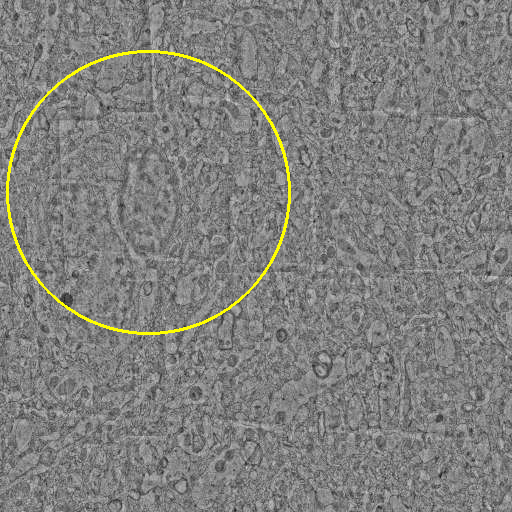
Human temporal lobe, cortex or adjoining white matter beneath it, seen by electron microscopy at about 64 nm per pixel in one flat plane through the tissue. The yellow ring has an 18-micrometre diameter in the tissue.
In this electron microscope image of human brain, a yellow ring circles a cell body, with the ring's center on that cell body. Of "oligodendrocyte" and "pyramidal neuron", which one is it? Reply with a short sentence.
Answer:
It is an oligodendrocyte at the center of the ring.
